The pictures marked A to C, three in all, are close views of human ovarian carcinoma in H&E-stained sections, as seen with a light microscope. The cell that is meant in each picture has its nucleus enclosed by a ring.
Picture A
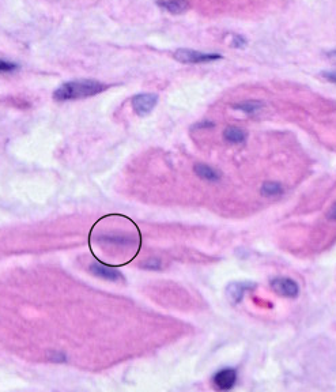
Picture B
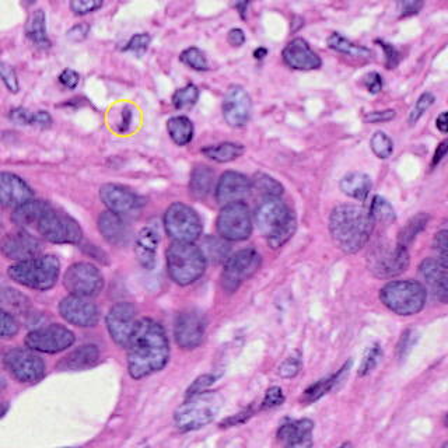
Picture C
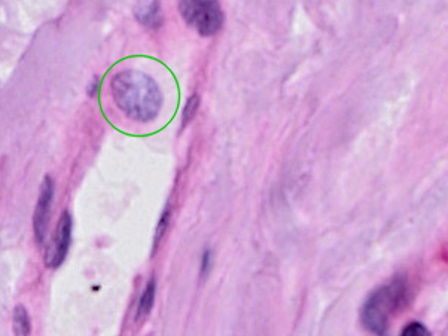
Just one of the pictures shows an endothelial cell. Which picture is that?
C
